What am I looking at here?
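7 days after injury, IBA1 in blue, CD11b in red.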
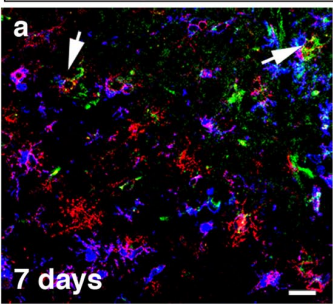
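Smaller green cells and green fragments are interspersed among them. In a few places the green overlaps red and blue within the same cell. The cells are not arranged in layers but lie spread fairly evenly across the field.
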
